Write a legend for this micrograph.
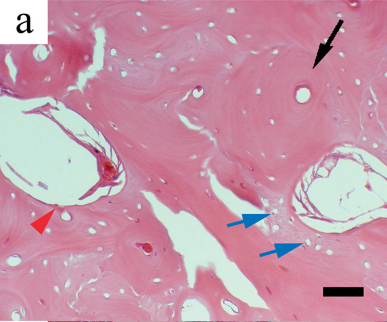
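In the upper right a small round canal is ringed by faint concentric lamellae, forming a Haversian system. Several irregular clear spaces and canals cross the bone, some holding red blood cells. Along the edges of these spaces, thin lining tissue and cells border the matrix.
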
